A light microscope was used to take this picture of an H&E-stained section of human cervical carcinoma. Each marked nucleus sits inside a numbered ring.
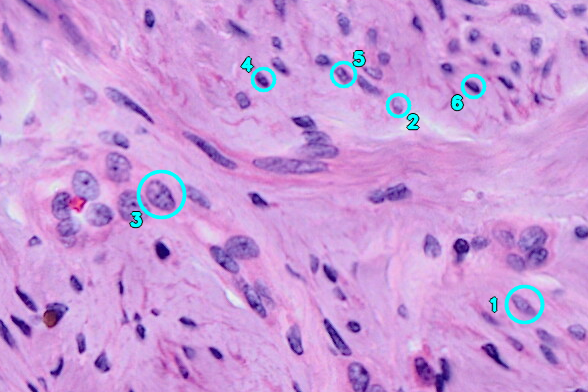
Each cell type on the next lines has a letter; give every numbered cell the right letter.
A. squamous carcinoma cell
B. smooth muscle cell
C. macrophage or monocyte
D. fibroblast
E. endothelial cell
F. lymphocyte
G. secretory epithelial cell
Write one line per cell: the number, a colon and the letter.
1: B
2: B
3: E
4: B
5: B
6: D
